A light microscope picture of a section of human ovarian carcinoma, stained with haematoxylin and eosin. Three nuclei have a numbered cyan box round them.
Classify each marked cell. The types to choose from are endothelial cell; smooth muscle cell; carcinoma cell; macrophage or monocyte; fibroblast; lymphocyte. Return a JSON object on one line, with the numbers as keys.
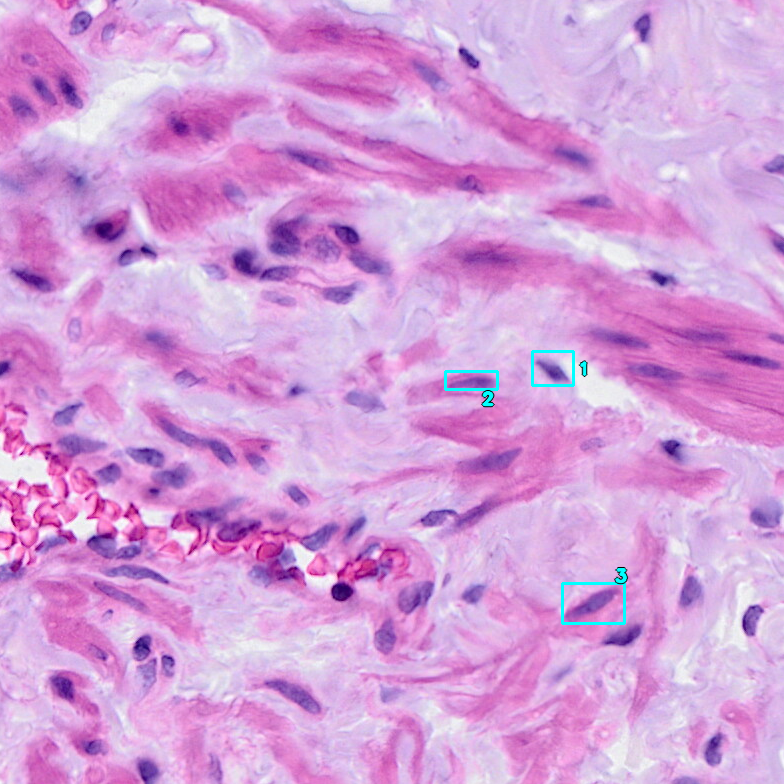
{"1": "fibroblast", "2": "smooth muscle cell", "3": "smooth muscle cell"}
